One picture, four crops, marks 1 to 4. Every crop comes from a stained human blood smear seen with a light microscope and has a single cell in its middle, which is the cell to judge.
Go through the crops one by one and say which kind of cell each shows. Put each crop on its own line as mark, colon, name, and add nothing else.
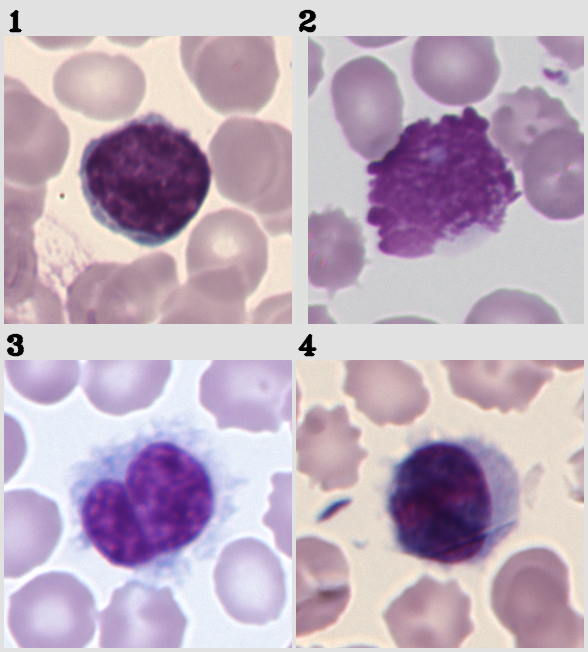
1: typical lymphocyte
2: smudge cell
3: hairy cell
4: hairy cell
